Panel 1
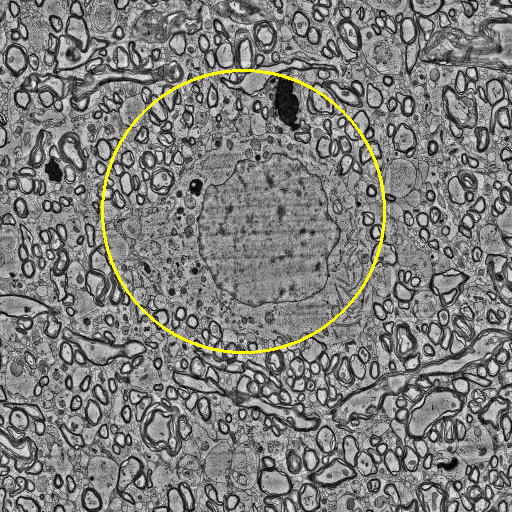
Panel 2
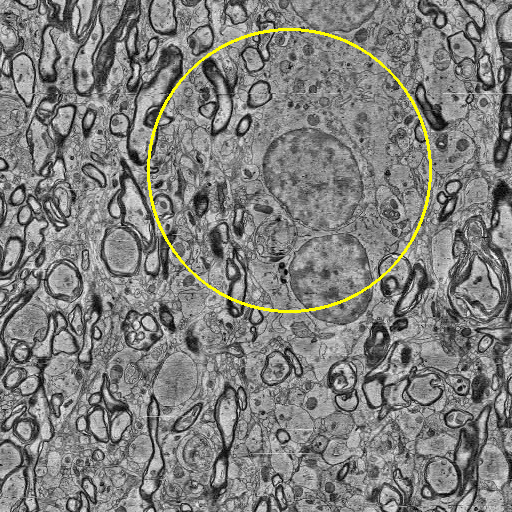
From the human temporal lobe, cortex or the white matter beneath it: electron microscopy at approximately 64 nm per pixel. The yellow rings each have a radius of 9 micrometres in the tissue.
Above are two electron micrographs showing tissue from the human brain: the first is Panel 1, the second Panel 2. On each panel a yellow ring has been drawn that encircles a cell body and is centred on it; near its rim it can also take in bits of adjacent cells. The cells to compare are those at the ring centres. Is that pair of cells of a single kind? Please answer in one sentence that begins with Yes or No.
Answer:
No, the ring-centred cells of Panel 1 and Panel 2 belong to two kinds.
